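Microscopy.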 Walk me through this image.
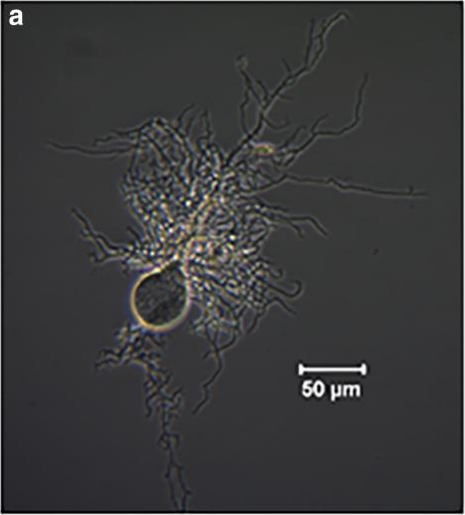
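This is a fungal growth made of a single rounded body with a large, much-branched system of rhizoids, which together form a monocentric thallus. The rounded body is a smooth, bright-rimmed sphere at the lower left edge of the growth. From the region beside it, a dense tangle of thin, thread-like rhizoids spreads outward in all directions. The rhizoids branch repeatedly and become finer and sparser toward the periphery. Against the dark background the filaments appear bright with a granular texture where they are crowded near the centre.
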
